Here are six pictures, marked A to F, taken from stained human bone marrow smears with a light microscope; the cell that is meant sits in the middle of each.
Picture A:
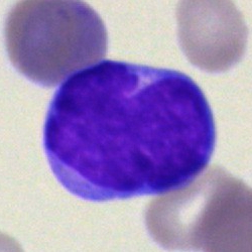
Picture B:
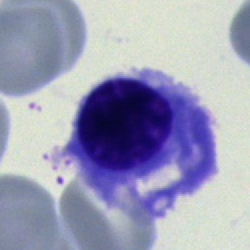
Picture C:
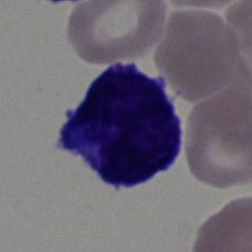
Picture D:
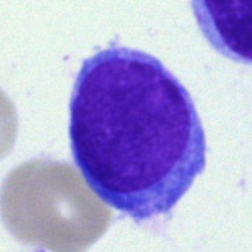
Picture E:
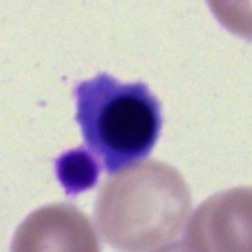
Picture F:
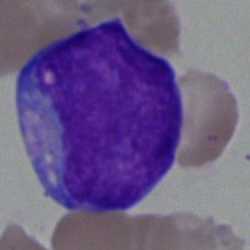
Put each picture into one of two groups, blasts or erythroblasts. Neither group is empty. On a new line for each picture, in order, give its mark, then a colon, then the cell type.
A: blast
B: erythroblast
C: blast
D: blast
E: erythroblast
F: blast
